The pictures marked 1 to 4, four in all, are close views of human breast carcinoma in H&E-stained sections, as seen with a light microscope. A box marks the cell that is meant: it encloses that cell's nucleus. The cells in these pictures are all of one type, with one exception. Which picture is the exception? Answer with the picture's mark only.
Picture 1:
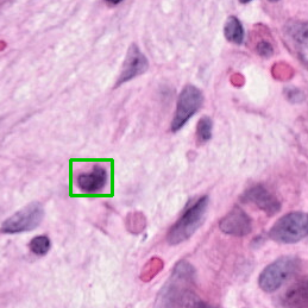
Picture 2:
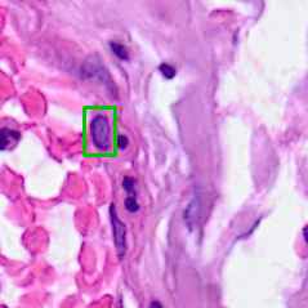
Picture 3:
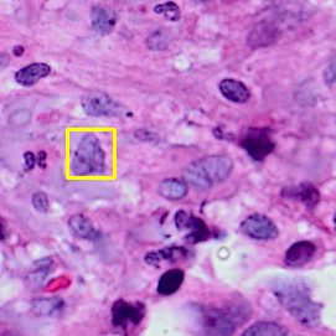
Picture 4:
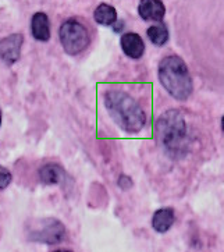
2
